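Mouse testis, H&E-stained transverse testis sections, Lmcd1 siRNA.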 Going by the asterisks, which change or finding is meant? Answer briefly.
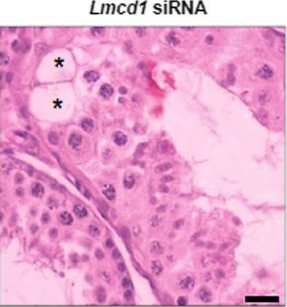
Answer: vacuoles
